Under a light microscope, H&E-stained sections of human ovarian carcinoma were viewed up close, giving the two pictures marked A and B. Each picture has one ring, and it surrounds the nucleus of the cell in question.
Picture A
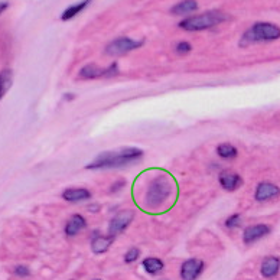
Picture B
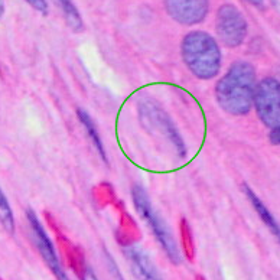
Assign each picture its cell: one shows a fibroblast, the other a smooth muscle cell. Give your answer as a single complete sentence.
Picture A is of a smooth muscle cell, and picture B is of a fibroblast.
